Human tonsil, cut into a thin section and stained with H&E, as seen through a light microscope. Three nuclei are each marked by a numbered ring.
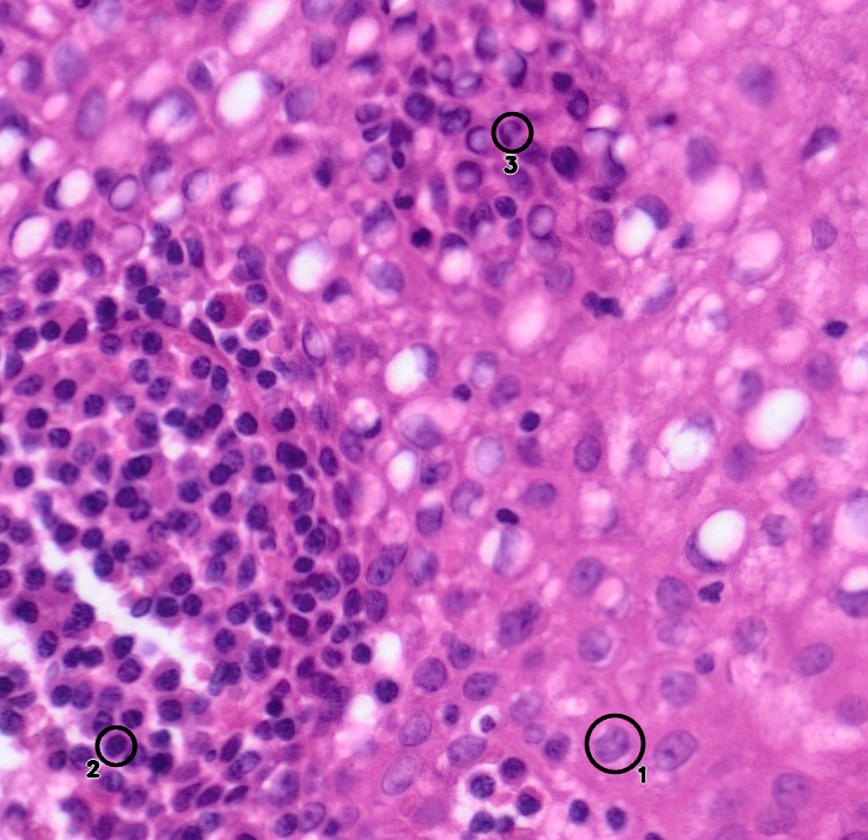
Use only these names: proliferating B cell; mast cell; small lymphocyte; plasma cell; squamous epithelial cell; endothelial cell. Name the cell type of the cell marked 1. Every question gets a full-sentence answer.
In this section, the cell numbered 1 is a squamous epithelial cell.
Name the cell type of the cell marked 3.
Numbered cell 3 is a squamous epithelial cell in this tissue section.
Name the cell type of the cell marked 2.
Belonging to a plasma cell is the nucleus that carries the number 2.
